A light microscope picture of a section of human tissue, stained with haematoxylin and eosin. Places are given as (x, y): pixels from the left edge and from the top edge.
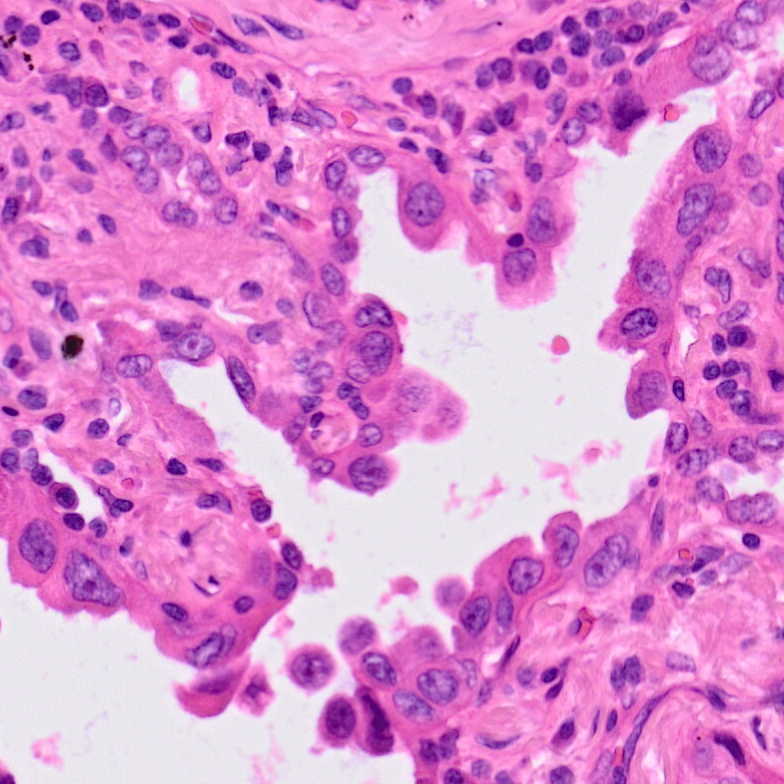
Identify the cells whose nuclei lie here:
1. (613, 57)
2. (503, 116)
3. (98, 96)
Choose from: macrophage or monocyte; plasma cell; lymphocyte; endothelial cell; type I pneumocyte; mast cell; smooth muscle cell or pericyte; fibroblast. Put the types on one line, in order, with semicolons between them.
lymphocyte; plasma cell; plasma cell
